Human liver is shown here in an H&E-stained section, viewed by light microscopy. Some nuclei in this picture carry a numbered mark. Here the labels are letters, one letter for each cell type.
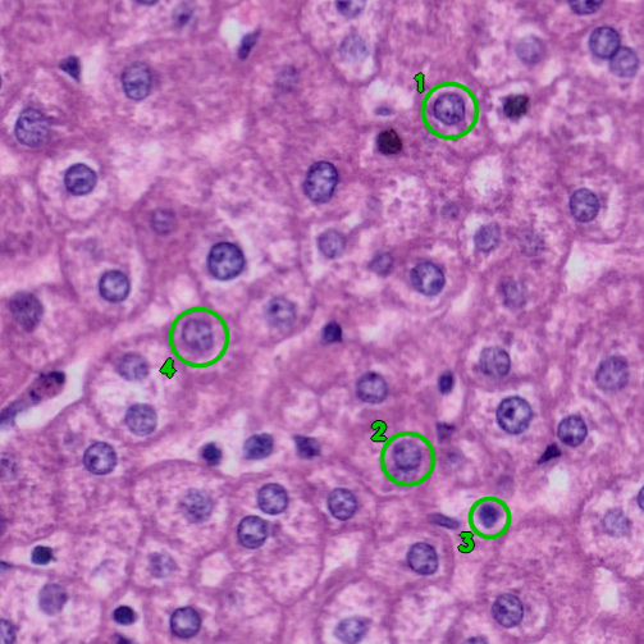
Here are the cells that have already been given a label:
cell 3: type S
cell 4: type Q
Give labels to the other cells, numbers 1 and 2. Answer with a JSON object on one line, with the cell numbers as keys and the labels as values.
{"1": "type Q", "2": "type Q"}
